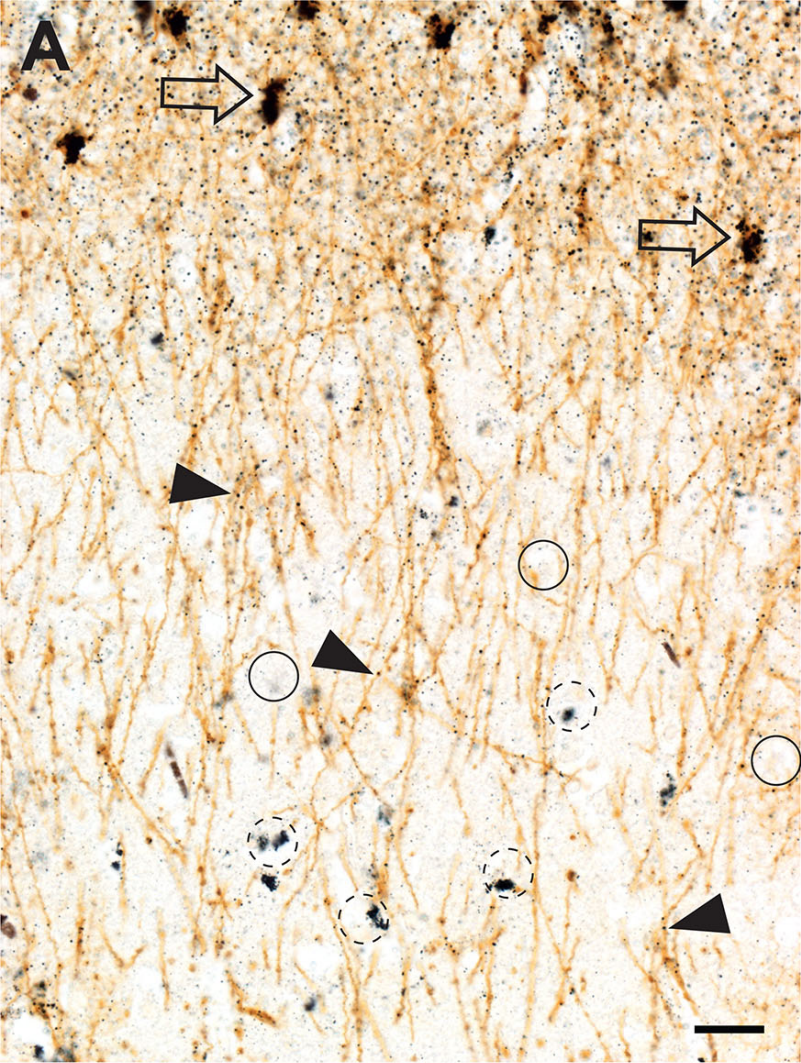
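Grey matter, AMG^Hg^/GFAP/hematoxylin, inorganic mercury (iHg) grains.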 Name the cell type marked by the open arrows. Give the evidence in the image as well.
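Dark brown-black cell bodies lie in the uppermost band of the section. Many long, thin brown fibres run downward from this top band through the depth of the field.
Hence: interlaminar astrocytes.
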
